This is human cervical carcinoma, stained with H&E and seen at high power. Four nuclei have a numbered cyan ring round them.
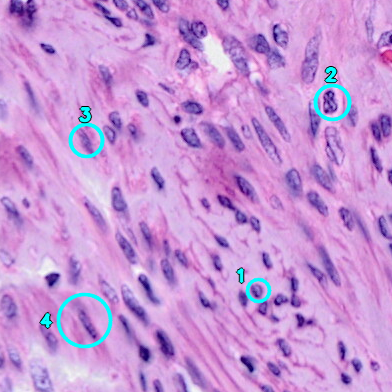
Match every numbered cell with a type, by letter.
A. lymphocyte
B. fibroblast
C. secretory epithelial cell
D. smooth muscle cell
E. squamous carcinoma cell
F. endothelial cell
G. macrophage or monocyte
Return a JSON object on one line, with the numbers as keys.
{"1": "D", "2": "A", "3": "D", "4": "D"}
